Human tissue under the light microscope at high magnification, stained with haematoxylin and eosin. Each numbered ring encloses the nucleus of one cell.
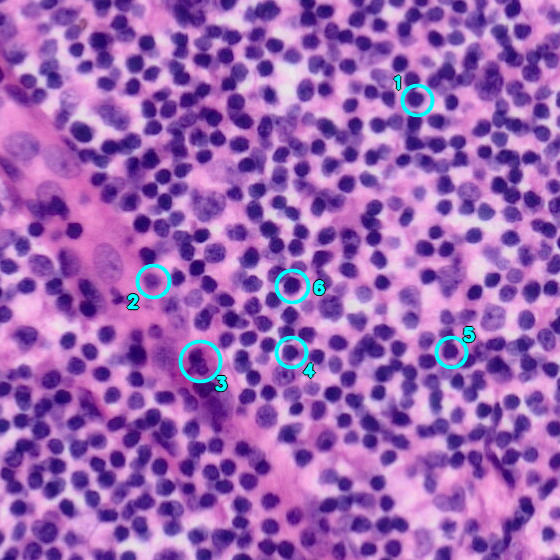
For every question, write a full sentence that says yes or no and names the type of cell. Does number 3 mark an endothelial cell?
Yes, cell 3 is an endothelial cell in this tissue section.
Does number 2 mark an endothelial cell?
Yes, that is so; number 2 marks an endothelial cell.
